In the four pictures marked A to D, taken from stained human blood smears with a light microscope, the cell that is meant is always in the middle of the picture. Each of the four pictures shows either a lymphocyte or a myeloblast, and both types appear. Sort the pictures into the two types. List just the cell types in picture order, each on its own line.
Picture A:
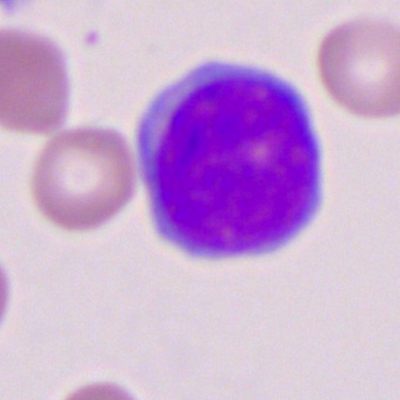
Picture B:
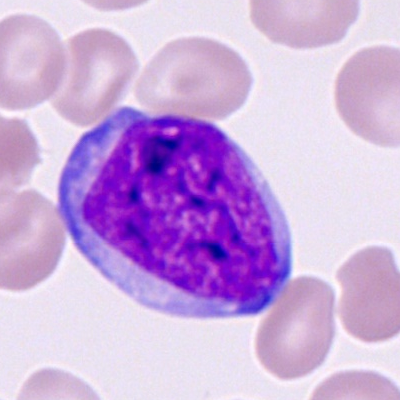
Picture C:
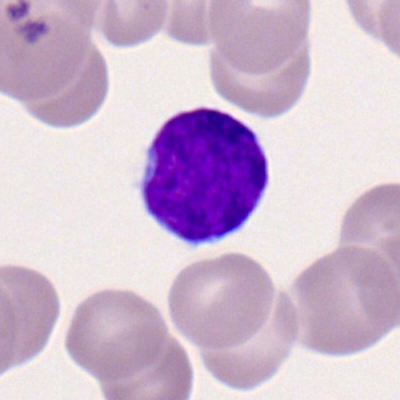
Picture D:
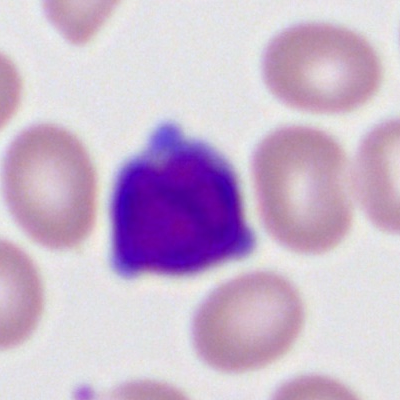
myeloblast
myeloblast
lymphocyte
lymphocyte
